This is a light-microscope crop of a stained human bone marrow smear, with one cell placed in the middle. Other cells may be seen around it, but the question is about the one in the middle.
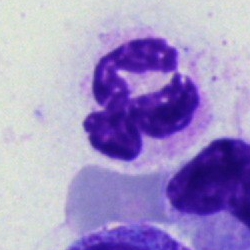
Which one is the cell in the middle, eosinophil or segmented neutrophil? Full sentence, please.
In the middle of this smear crop is a segmented neutrophil.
